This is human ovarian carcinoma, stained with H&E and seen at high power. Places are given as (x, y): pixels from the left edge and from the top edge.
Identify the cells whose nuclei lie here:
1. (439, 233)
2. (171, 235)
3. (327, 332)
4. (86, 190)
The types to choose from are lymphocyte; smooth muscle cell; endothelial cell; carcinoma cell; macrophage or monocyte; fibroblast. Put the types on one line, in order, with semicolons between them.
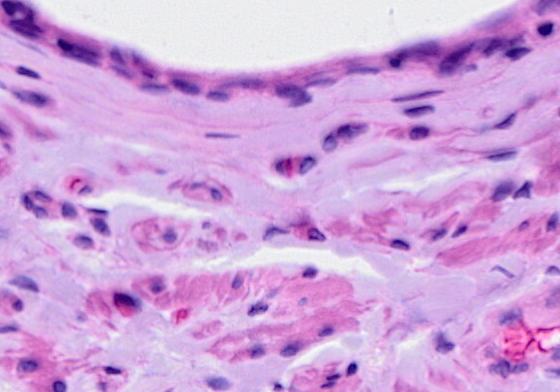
smooth muscle cell; smooth muscle cell; smooth muscle cell; endothelial cell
